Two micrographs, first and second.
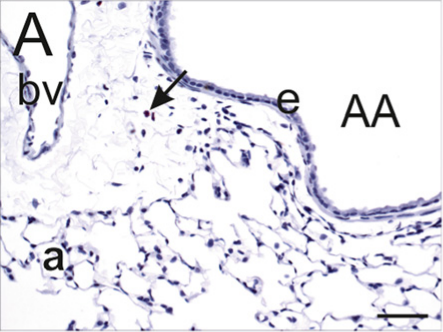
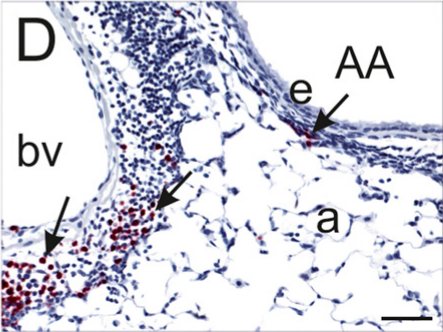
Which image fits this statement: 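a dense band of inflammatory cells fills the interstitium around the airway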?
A: The second image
